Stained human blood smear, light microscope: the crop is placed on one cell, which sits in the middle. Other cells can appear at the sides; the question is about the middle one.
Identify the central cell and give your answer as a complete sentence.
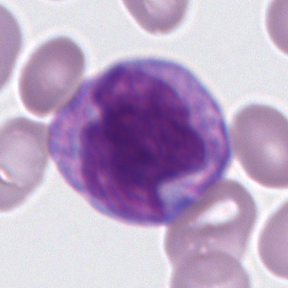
In the middle of this smear crop, the cell is an atypical promyelocyte.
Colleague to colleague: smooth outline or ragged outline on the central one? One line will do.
If you check the edge, you will find it smooth without projections.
